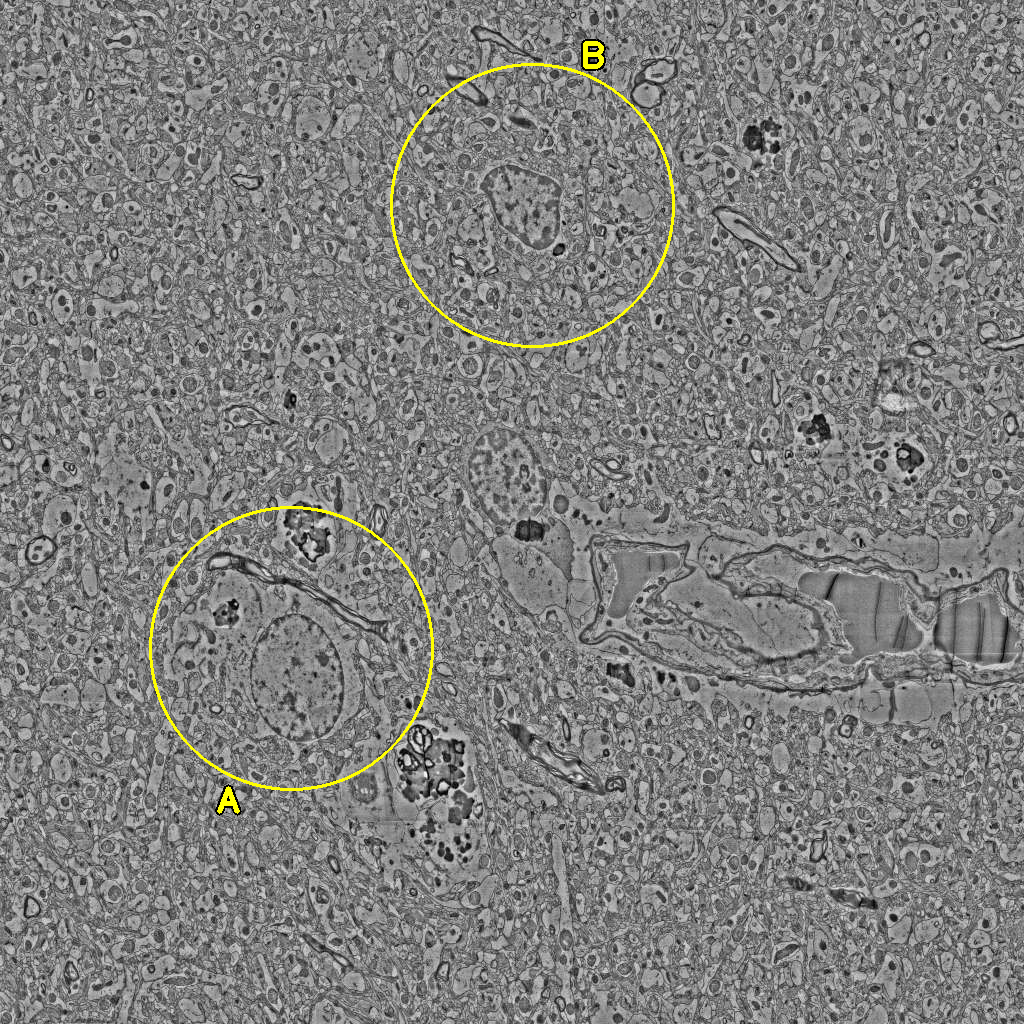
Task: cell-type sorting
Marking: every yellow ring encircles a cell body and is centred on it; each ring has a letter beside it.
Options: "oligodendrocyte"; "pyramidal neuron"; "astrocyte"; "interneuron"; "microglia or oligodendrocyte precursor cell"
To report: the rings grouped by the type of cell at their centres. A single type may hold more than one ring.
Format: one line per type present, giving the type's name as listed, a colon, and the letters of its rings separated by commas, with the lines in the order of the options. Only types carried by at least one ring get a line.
astrocyte: A
microglia or oligodendrocyte precursor cell: B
